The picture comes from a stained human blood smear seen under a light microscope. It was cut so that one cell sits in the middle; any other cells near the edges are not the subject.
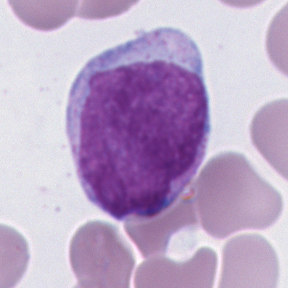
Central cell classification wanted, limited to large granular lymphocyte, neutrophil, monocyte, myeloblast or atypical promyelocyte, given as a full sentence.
The central cell in this smear crop is an atypical promyelocyte.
